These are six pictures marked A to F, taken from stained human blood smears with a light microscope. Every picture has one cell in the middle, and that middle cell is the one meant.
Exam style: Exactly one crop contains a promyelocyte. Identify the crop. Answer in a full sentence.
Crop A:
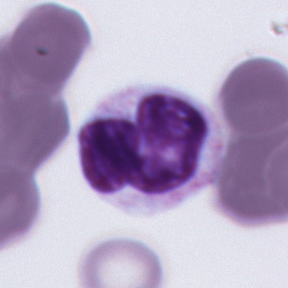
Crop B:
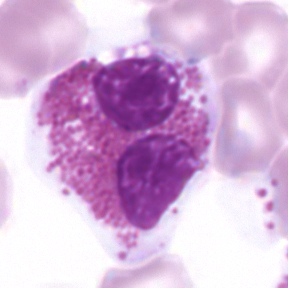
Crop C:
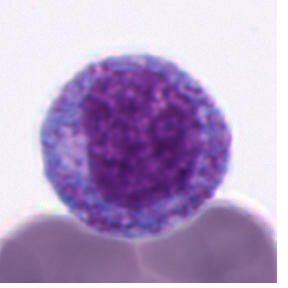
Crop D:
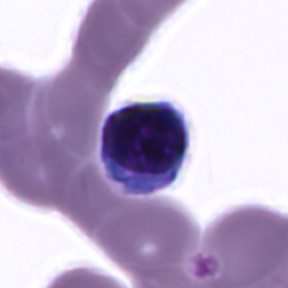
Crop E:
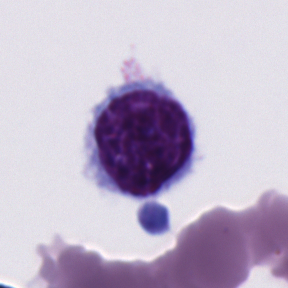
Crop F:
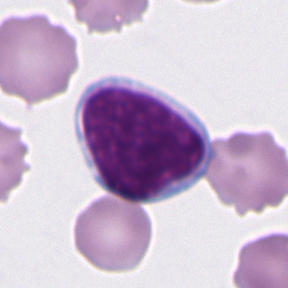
It is in crop C, among all the crops, that a promyelocyte is present.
